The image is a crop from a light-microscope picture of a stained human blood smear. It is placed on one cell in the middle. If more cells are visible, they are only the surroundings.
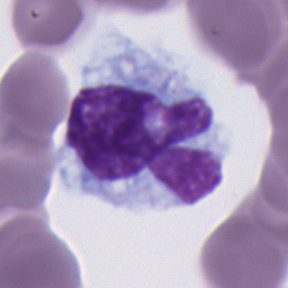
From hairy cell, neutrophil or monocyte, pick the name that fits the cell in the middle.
monocyte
